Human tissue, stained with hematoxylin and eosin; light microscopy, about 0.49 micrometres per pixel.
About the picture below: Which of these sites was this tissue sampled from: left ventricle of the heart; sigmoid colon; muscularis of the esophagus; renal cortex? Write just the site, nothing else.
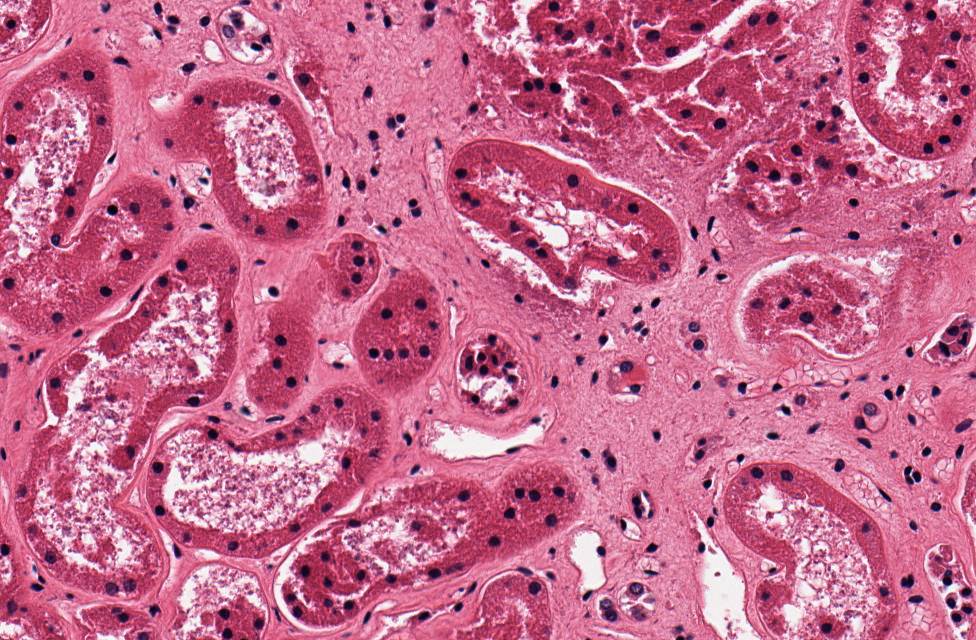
renal cortex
